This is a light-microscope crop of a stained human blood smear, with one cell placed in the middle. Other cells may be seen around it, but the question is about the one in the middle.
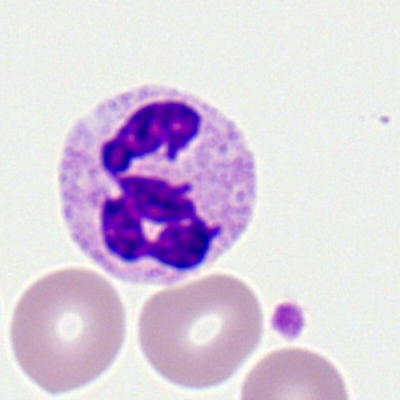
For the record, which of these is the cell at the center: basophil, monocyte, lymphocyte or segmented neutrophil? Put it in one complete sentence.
The central element of this crop is a cell, namely a segmented neutrophil.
